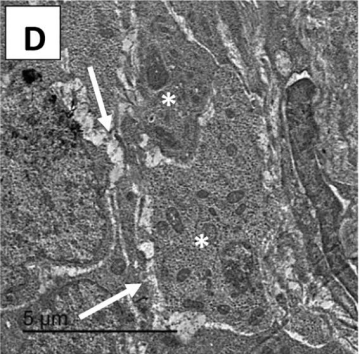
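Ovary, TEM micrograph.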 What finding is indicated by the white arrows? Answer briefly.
Gapping between ovarian cells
